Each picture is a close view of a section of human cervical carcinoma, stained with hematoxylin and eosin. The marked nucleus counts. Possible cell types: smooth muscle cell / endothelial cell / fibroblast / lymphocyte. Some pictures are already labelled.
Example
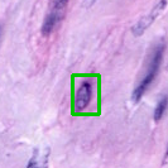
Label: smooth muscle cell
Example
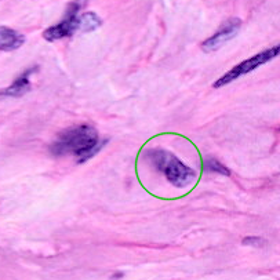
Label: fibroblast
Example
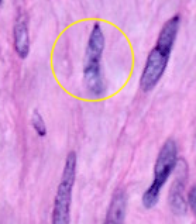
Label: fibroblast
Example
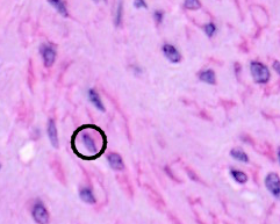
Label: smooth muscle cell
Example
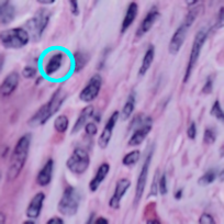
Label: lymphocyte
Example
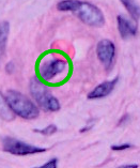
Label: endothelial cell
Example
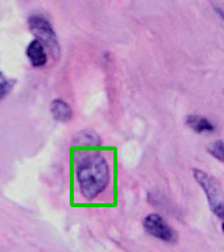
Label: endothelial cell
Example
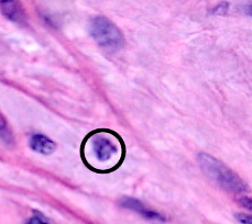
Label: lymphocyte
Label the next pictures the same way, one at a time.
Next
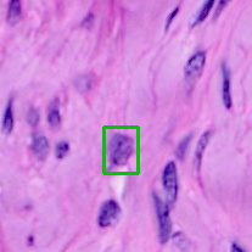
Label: fibroblast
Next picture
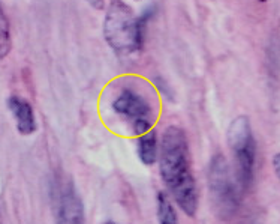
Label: lymphocyte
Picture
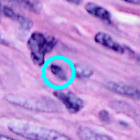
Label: lymphocyte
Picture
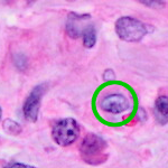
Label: endothelial cell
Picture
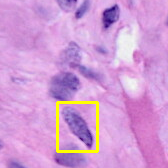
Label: fibroblast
